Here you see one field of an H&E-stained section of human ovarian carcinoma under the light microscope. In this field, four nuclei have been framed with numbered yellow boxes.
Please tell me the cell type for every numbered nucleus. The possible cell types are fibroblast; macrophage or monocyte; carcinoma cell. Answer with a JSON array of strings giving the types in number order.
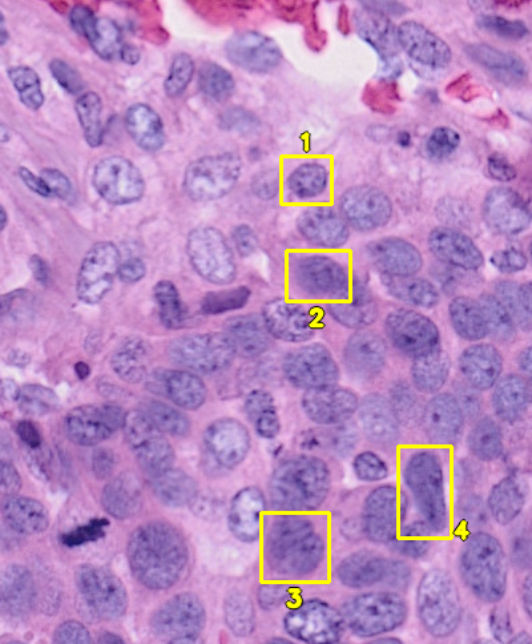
["macrophage or monocyte", "carcinoma cell", "carcinoma cell", "carcinoma cell"]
